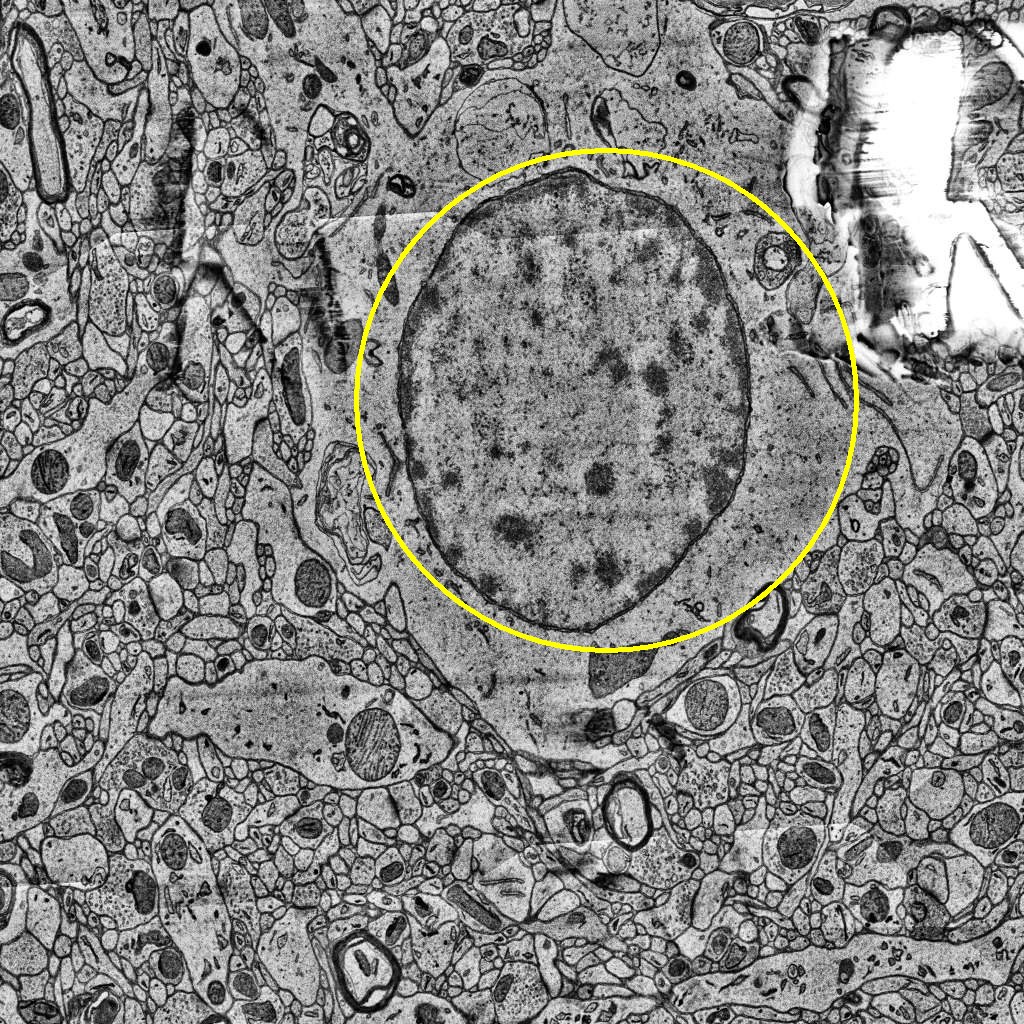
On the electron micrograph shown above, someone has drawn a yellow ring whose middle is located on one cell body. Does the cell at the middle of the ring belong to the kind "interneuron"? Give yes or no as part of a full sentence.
No, the cell located at the middle of the ring in the micrograph is of a different kind.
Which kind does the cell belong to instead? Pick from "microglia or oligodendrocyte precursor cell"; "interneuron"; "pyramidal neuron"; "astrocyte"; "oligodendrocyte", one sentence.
The cell this ring marks is an astrocyte.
